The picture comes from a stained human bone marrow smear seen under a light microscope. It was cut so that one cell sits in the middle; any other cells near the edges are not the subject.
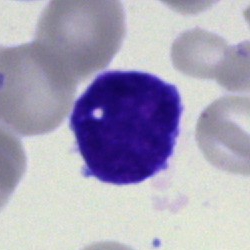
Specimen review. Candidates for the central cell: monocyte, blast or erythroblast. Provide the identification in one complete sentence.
The cell the crop is centered on is a blast.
